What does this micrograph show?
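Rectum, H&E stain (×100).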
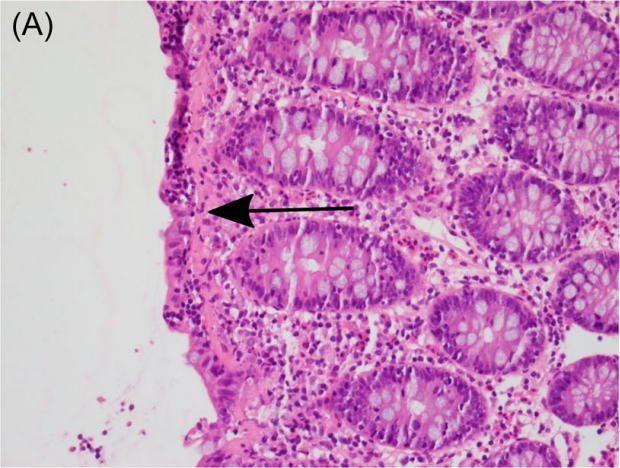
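The crypts are cut across and lengthwise as regular, round to tubular glands lined by columnar cells with many pale goblet cells and basal purple nuclei. Along the left edge the surface epithelium rests on a broad pale pink band that separates it from the deeper tissue. The lamina propria between the crypts is densely filled with small round cells with dark nuclei, many consistent with plasma cells. The crypt architecture itself stays orderly and evenly spaced.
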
